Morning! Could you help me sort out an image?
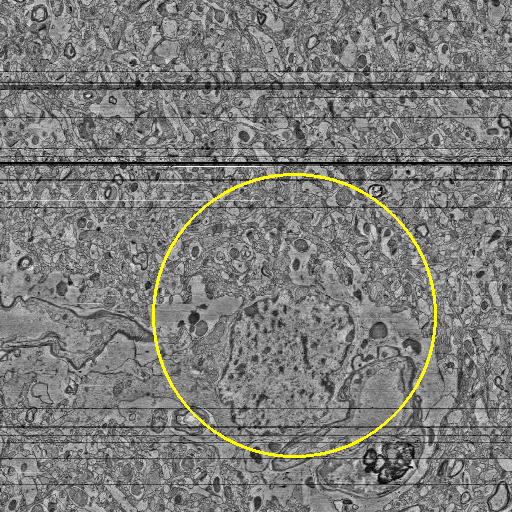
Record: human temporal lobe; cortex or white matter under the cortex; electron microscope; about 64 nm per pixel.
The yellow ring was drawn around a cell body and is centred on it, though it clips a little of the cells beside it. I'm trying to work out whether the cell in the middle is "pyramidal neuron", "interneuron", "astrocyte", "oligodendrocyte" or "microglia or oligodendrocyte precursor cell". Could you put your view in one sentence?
The ringed cell body is that of a microglial cell or oligodendrocyte precursor cell.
